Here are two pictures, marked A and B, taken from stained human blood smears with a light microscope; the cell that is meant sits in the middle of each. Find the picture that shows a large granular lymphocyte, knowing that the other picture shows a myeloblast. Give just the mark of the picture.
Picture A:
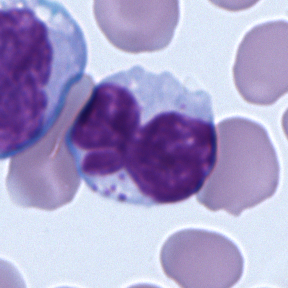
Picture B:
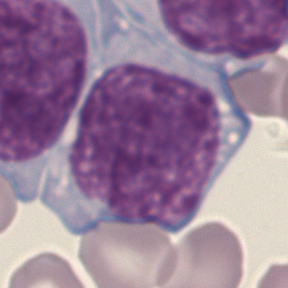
A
